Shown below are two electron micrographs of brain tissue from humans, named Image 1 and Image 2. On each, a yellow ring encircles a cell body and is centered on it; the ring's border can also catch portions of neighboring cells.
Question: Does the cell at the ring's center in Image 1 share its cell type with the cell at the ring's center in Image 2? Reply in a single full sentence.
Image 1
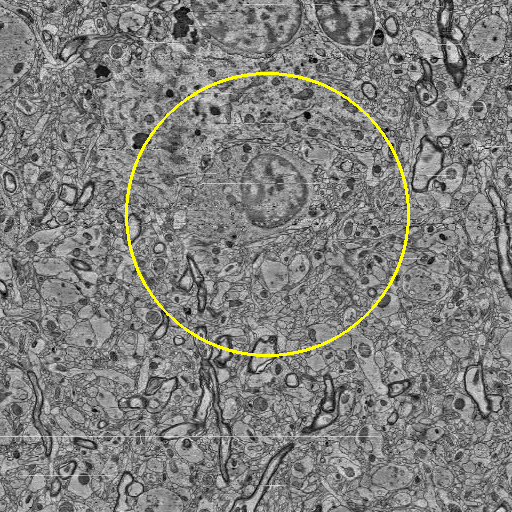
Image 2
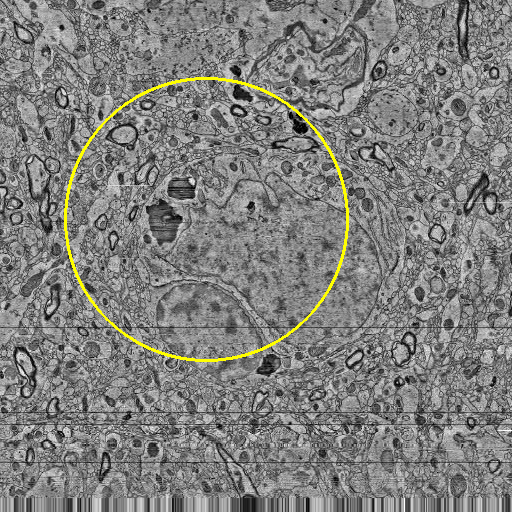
No, the two cells at the ring centers, in Image 1 and Image 2, are of two cell types.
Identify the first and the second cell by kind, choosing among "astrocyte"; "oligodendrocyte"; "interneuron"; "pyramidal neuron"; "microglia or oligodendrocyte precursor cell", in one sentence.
The one in the first picture is an oligodendrocyte, while the one in the second is an interneuron.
